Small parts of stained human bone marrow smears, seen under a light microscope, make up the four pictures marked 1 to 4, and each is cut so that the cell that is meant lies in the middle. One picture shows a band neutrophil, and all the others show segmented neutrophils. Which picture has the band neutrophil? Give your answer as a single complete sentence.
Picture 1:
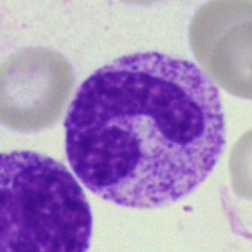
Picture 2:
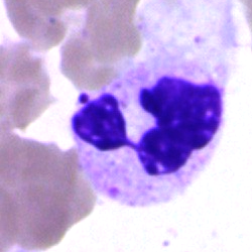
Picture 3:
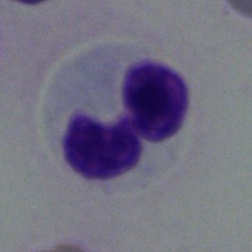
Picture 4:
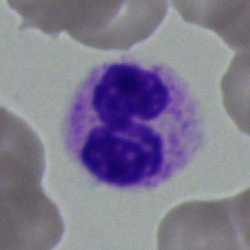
Picture 1 is the one that shows the band neutrophil.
